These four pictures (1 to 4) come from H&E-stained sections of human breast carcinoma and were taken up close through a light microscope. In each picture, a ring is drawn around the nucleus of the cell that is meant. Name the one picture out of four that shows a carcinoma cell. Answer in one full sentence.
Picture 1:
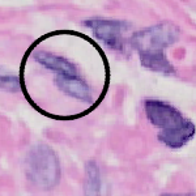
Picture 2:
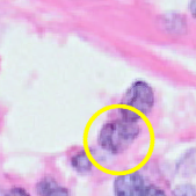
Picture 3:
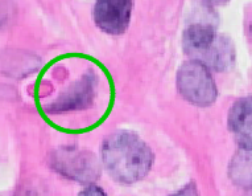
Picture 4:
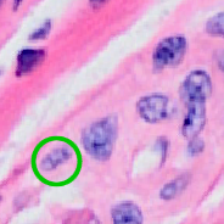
The picture with the carcinoma cell is 2.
